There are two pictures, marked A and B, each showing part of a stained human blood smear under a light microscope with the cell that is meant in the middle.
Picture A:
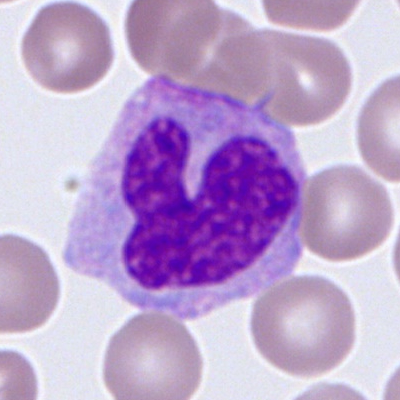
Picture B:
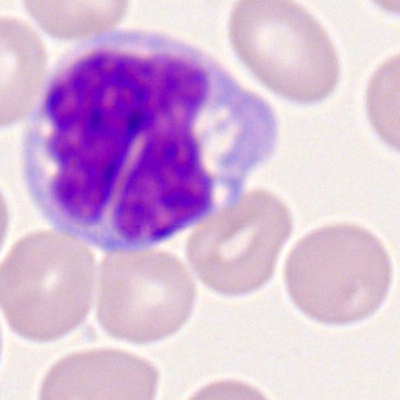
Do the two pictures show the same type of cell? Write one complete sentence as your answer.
Yes, the two pictures both show monocytes.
